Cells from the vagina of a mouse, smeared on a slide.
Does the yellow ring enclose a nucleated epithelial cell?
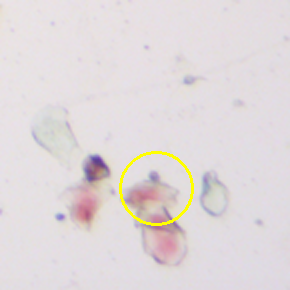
Yes. The ring encloses a nucleated epithelial cell.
